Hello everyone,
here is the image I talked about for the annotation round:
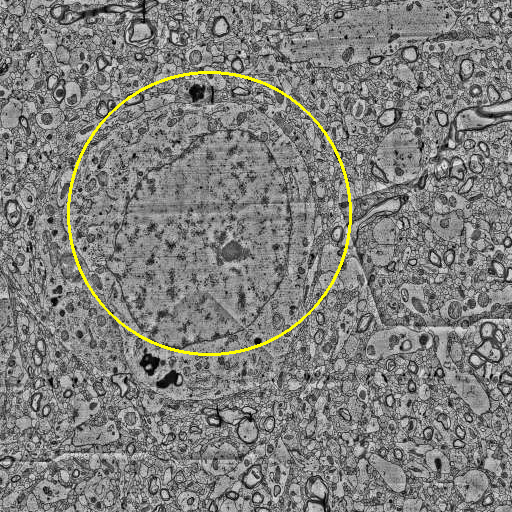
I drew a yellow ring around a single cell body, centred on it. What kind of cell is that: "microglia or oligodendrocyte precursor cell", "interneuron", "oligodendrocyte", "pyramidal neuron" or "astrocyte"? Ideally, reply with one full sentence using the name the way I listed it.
The cell your yellow ring is centred on is a pyramidal neuron, going by your list.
